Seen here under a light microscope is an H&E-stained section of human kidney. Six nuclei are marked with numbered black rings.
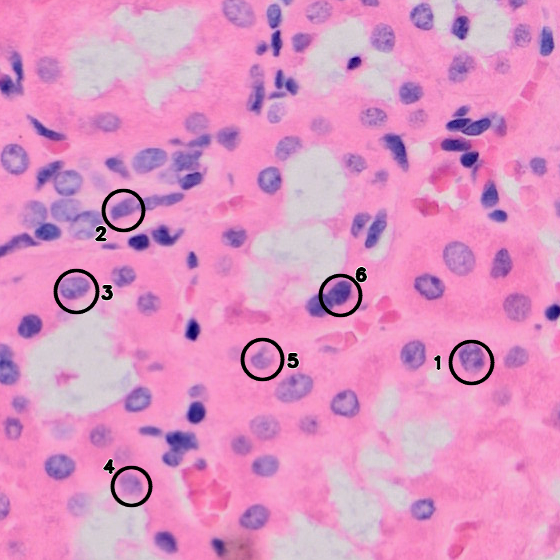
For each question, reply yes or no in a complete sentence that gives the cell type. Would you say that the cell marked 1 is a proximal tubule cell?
Yes, that is so; number 1 marks a proximal tubule cell.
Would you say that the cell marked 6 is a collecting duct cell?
No, calling cell 6 a collecting duct cell is incorrect; it is a loop of Henle or distal tubule cell.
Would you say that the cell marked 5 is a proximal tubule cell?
Yes, number 5 in this section denotes a proximal tubule cell.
